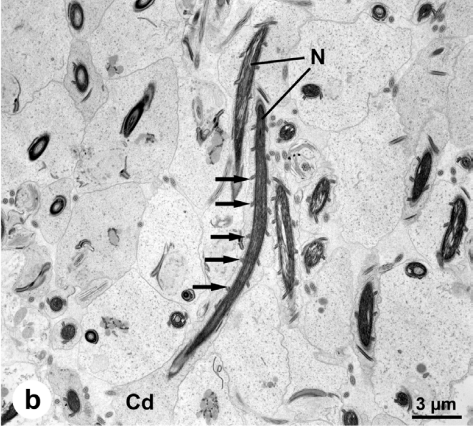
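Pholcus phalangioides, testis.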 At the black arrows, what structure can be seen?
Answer: Helical band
